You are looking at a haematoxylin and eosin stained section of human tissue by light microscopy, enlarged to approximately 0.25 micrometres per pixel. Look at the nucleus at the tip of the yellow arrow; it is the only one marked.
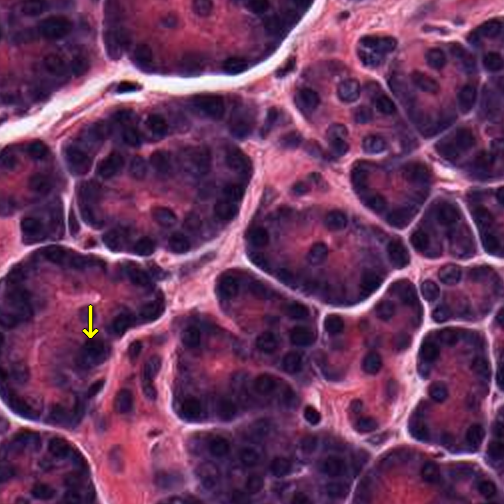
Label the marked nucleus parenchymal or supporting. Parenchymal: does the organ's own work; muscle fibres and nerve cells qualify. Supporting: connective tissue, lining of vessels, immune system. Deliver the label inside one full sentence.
The marked nucleus is the nucleus of a parenchymal cell, that is, a pancreatic acinar cell.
